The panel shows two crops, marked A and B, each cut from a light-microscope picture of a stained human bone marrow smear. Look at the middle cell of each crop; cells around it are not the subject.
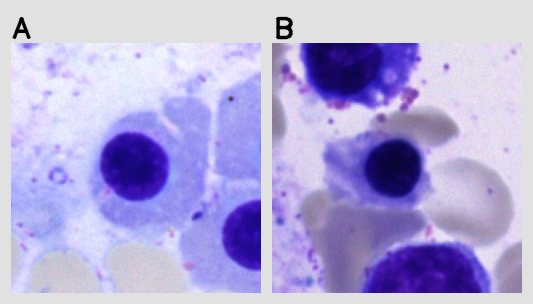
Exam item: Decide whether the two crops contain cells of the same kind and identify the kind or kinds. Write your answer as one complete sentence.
Yes, both crops show erythroblasts in the centre of the field.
